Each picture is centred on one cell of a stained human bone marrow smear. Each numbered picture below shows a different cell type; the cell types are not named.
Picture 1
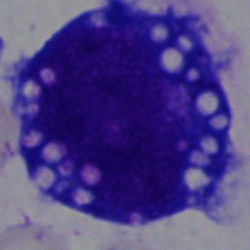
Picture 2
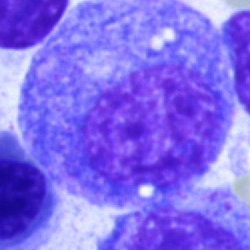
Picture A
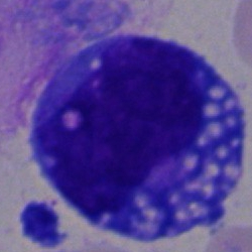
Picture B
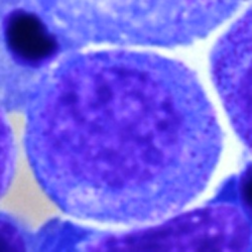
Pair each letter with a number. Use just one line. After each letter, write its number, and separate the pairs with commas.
A 1, B 2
